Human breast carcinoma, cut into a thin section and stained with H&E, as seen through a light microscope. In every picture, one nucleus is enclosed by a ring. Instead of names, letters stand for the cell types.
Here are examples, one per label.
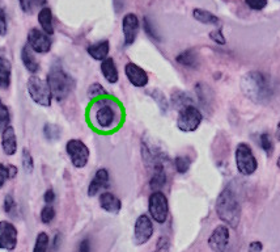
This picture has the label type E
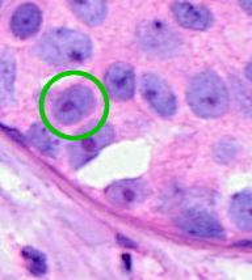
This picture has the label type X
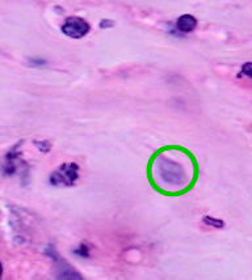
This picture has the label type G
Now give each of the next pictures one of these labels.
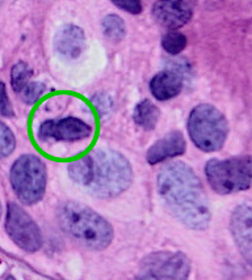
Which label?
type X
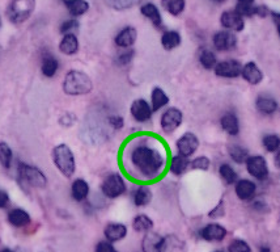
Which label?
type E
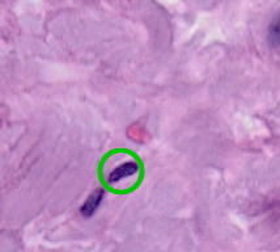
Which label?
type G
